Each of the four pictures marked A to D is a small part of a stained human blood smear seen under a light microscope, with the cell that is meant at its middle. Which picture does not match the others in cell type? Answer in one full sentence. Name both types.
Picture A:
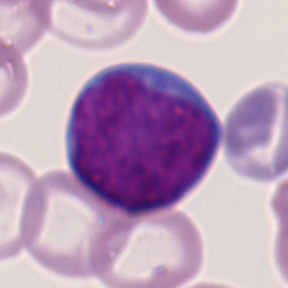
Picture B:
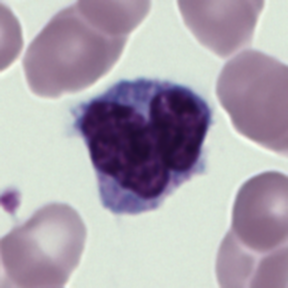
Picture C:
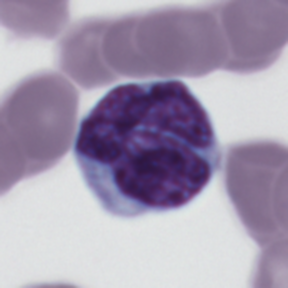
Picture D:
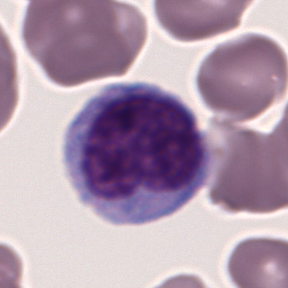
The others show monocytes, but picture A shows a myeloblast.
